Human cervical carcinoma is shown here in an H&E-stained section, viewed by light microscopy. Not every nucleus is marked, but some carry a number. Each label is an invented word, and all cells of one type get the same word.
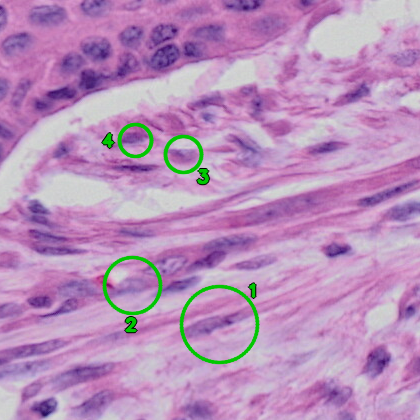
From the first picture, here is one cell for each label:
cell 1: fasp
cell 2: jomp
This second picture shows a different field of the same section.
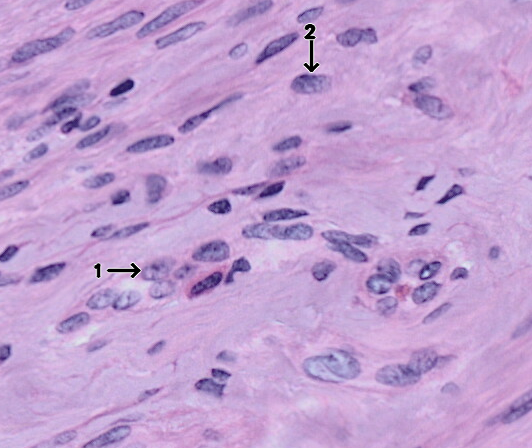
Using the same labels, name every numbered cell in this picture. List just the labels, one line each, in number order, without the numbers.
jomp
fasp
